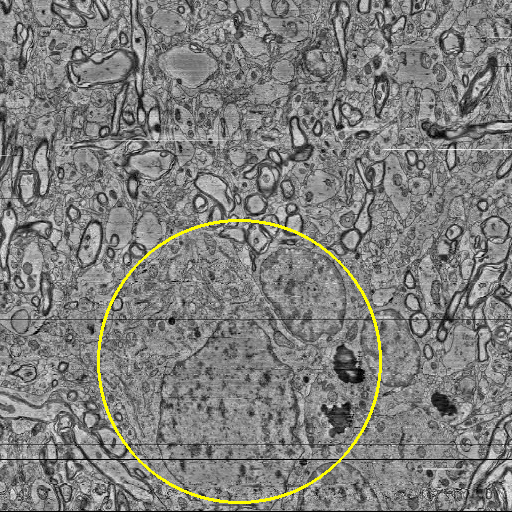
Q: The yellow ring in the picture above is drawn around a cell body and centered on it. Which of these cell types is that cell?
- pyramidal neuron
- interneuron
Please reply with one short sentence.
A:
The cell body at the ring's center belongs to an interneuron.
